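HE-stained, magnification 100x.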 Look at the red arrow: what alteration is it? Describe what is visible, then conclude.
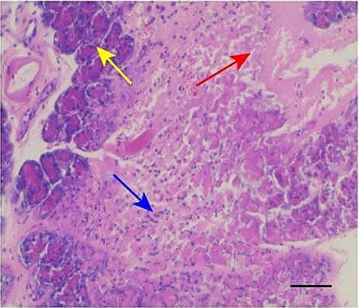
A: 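Necrosis. The arrow points into a broad pale pink, structureless area. Few intact acini or nuclei remain in that area.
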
